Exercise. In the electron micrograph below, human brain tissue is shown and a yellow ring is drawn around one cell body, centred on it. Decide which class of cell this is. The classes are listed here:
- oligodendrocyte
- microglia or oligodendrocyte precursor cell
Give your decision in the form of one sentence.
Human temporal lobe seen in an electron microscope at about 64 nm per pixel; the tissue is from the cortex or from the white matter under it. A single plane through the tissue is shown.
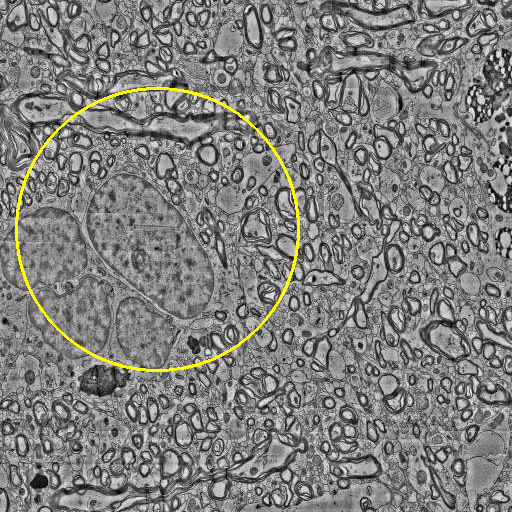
The cell body marked by the ring belongs to a microglial cell or oligodendrocyte precursor cell.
